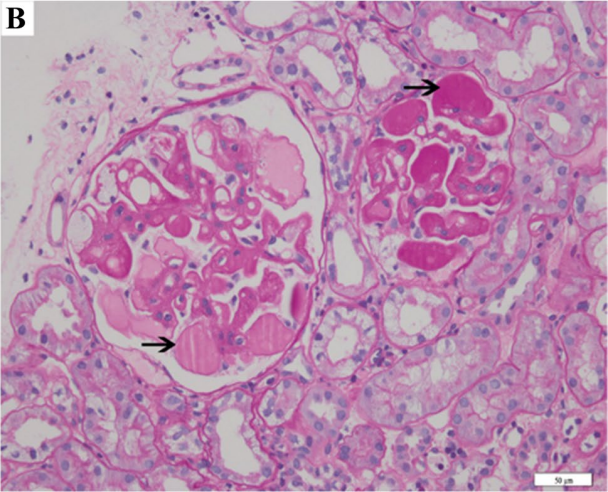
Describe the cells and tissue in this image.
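This is kidney cortex with two glomeruli surrounded by tubules, stained magenta and blue. Many capillary loops of both glomerular tufts are distended and plugged by smooth, homogeneous magenta material, some of it pale pink and some deep magenta. The lumens of these loops no longer contain visible red cells, and the tufts look lobulated because of the swollen loops. A thin capsule with a clear urinary space surrounds the larger glomerulus. The neighbouring tubules are lined by cuboidal epithelial cells with round blue nuclei and pale, partly vacuolated cytoplasm, resting on thin magenta basement membranes.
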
